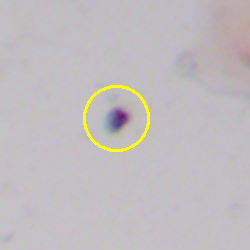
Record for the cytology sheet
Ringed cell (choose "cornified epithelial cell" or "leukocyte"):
leukocyte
